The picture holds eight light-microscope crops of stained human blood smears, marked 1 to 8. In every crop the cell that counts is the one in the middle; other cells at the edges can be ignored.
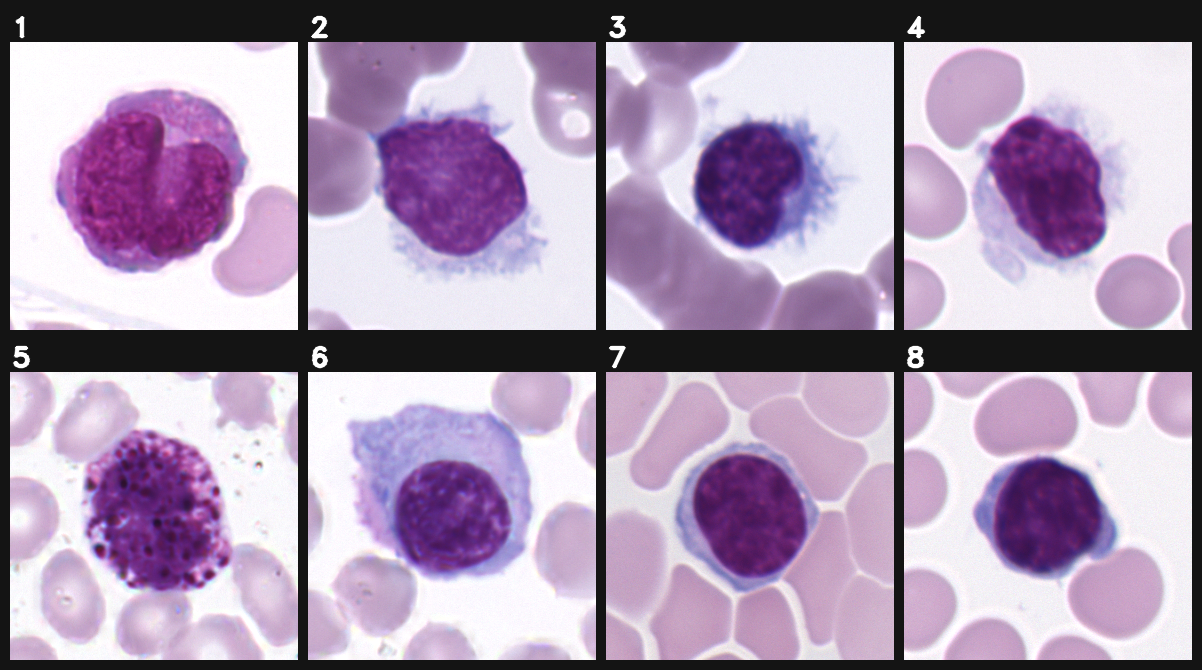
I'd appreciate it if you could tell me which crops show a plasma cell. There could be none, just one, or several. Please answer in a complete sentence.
No other crop besides crop 6 shows a plasma cell.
